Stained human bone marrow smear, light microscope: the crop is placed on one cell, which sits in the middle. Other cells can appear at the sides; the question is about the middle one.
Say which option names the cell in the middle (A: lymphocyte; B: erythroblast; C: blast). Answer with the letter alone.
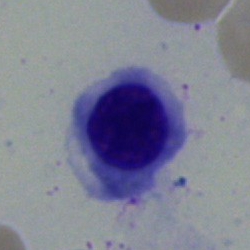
B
